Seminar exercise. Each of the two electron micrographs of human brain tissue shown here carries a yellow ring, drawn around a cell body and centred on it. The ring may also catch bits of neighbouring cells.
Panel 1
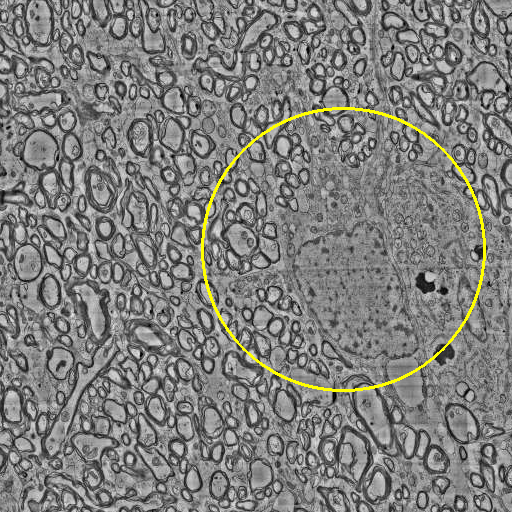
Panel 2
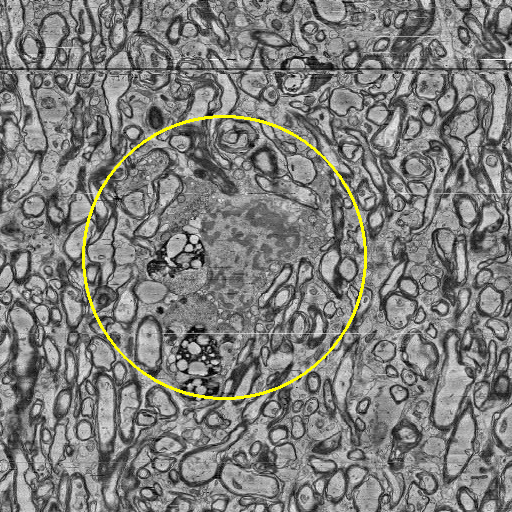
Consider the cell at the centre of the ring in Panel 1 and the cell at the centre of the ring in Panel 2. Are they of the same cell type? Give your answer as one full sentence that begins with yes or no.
Yes, both cells are of the same type.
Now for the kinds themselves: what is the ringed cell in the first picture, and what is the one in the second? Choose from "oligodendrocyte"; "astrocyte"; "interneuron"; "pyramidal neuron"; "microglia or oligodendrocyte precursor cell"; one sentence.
Each of the ringed cells, first and second, is an astrocyte.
